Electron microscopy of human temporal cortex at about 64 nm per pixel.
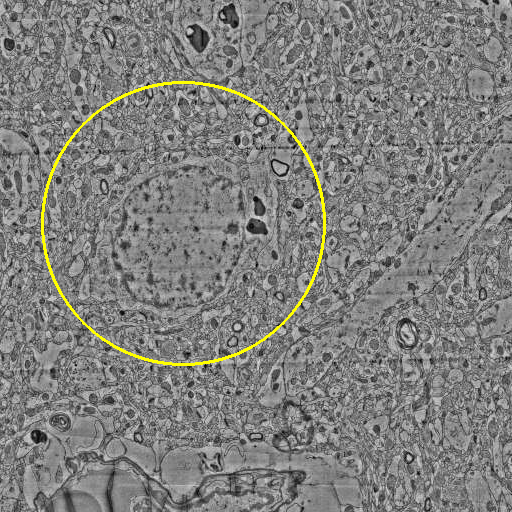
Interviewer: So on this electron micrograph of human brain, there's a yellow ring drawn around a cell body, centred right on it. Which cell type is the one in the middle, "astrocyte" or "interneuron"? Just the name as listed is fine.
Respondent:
interneuron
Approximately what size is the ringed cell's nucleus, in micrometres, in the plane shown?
The nucleus of the ringed cell is approximately 9 micrometres across in this plane.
